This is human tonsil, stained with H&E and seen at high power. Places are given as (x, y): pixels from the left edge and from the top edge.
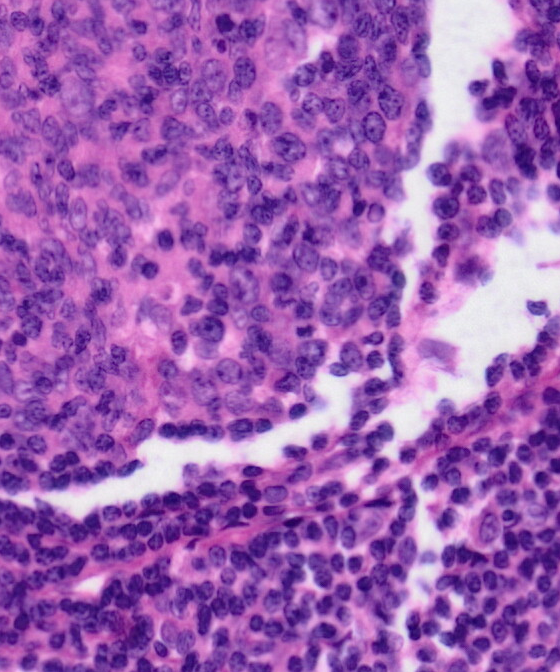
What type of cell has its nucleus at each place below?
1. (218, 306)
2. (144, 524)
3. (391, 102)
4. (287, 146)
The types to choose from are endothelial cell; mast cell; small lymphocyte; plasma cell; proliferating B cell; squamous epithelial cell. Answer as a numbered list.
1. proliferating B cell
2. small lymphocyte
3. proliferating B cell
4. proliferating B cell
